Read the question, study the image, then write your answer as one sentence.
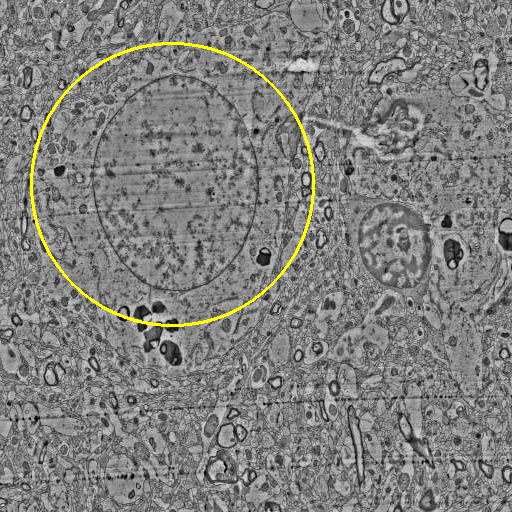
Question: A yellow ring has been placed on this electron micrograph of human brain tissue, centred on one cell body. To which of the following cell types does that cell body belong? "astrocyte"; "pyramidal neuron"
That cell body belongs to a pyramidal neuron.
